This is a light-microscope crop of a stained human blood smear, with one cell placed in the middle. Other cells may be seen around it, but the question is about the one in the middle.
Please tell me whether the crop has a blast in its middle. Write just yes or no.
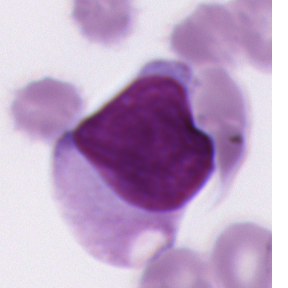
yes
